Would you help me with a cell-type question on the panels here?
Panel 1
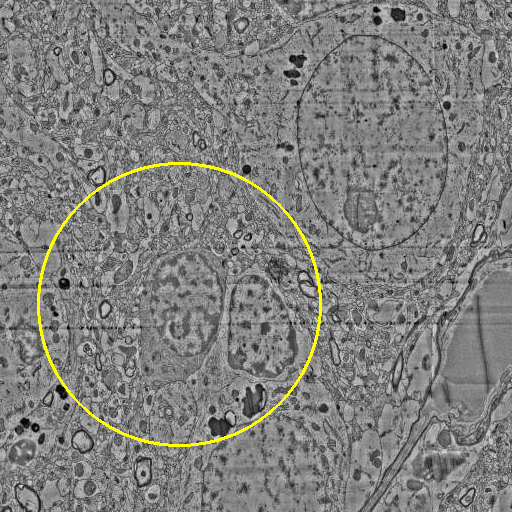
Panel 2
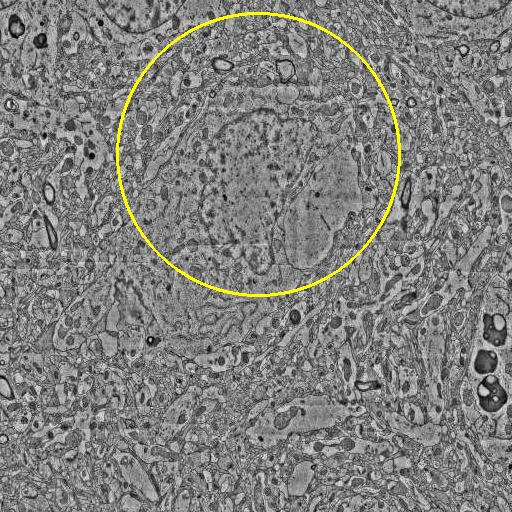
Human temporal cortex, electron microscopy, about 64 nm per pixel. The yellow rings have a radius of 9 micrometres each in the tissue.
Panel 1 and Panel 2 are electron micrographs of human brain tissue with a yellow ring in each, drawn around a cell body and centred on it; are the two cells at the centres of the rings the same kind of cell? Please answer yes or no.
no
